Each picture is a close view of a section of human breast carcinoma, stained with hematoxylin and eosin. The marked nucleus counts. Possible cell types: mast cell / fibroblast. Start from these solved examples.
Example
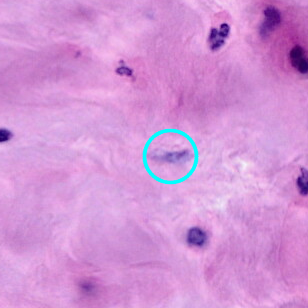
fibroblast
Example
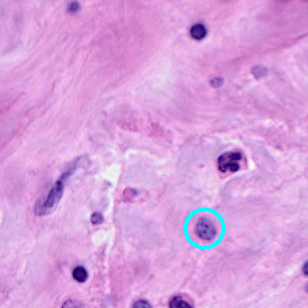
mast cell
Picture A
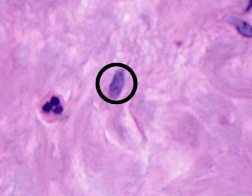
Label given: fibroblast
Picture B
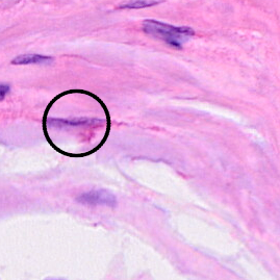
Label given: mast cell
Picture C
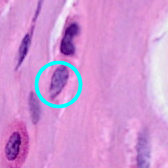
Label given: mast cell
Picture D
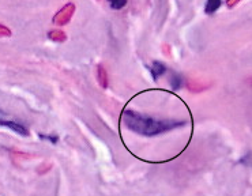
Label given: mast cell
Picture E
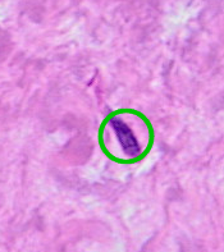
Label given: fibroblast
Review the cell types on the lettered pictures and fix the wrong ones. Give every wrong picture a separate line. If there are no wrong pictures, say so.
B: fibroblast, not mast cell
D: fibroblast, not mast cell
